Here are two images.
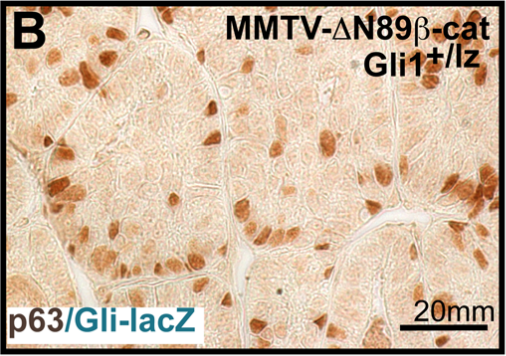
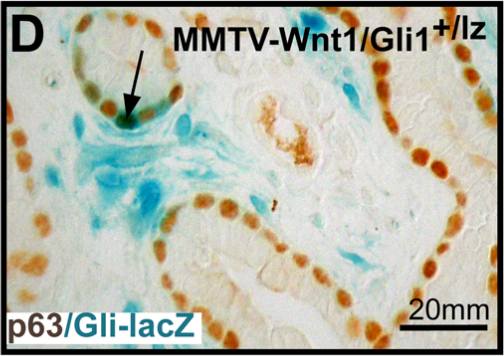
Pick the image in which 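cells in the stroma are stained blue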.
The second image.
